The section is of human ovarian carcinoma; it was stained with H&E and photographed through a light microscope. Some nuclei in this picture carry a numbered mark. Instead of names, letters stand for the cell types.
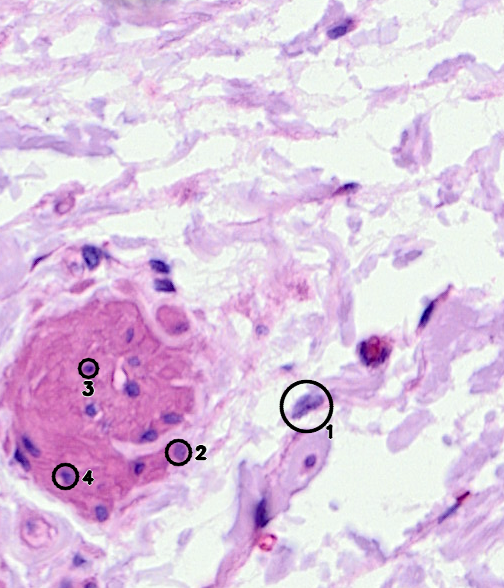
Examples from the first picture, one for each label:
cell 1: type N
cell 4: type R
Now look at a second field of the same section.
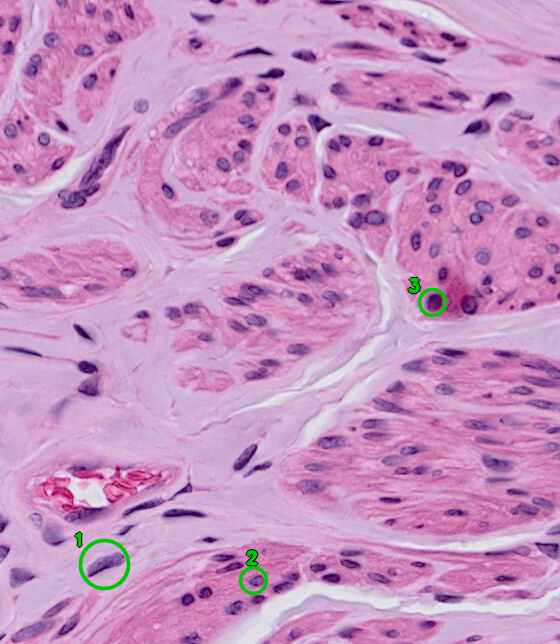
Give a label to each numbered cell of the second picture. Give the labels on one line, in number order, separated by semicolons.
type N; type R; type R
